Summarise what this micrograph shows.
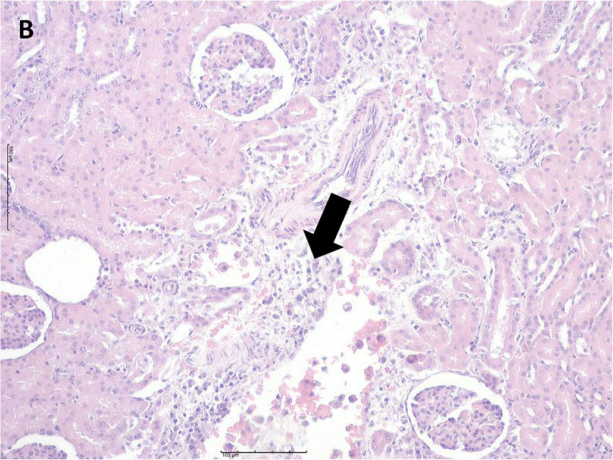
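Kidney cortex with several round glomeruli, each a tuft of capillaries with many nuclei inside a clear capsular space. Between them run tubules lined by cuboidal cells with pink cytoplasm and round nuclei. Near the centre, beside a vessel cut lengthwise, small dark round nuclei crowd the interstitium between tubules. Free red blood cells lie in an open space nearby.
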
